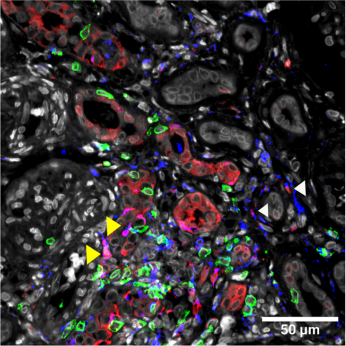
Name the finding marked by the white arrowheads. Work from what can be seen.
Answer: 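The white arrowheads point to small blue-stained cells lying in the narrow space between tubules. Many small nucleated cells crowd the spaces around the tubules. The answer: peritubular inflammation.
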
